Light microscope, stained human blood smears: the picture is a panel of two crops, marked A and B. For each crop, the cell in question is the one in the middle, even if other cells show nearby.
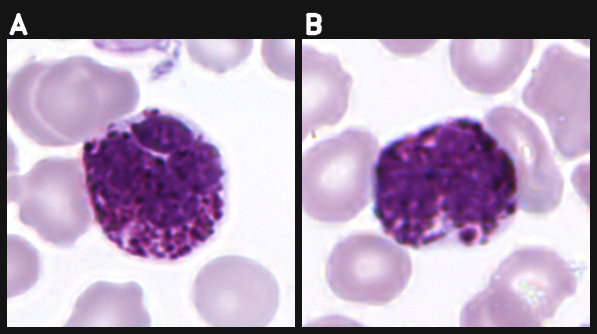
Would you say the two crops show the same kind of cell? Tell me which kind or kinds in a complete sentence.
Yes, basophils occupy the centre of both crops.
